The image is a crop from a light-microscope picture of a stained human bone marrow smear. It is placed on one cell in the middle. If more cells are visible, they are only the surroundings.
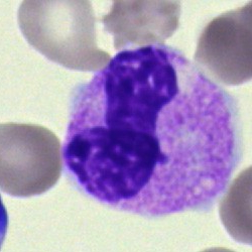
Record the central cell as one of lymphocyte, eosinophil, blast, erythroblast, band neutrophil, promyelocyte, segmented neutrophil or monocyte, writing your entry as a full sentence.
The crop's centre is taken up by a band neutrophil.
